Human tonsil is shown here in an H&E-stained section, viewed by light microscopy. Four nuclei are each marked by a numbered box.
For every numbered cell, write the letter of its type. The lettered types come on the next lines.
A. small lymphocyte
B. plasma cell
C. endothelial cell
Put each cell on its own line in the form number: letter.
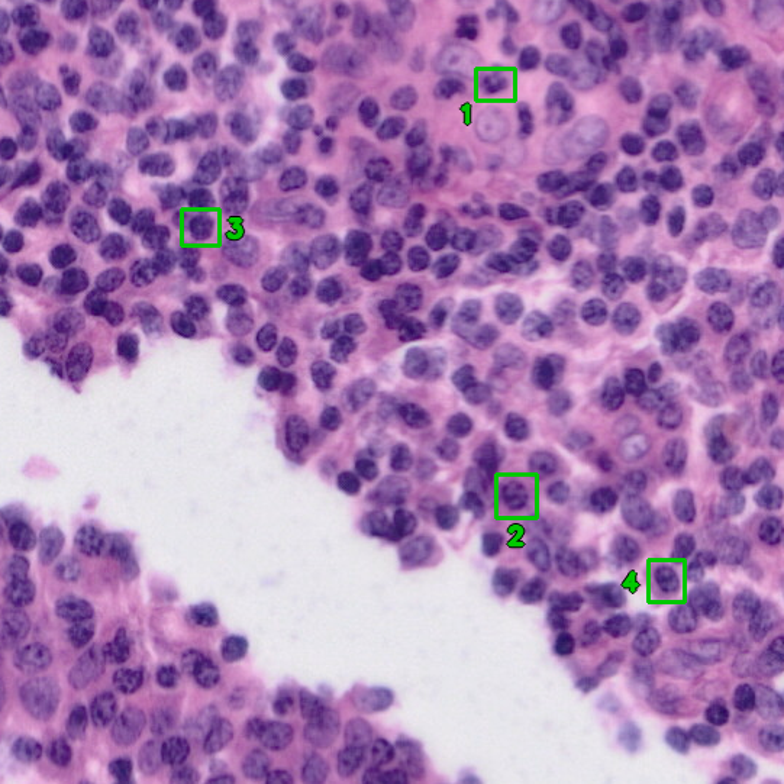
1: C
2: B
3: A
4: B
